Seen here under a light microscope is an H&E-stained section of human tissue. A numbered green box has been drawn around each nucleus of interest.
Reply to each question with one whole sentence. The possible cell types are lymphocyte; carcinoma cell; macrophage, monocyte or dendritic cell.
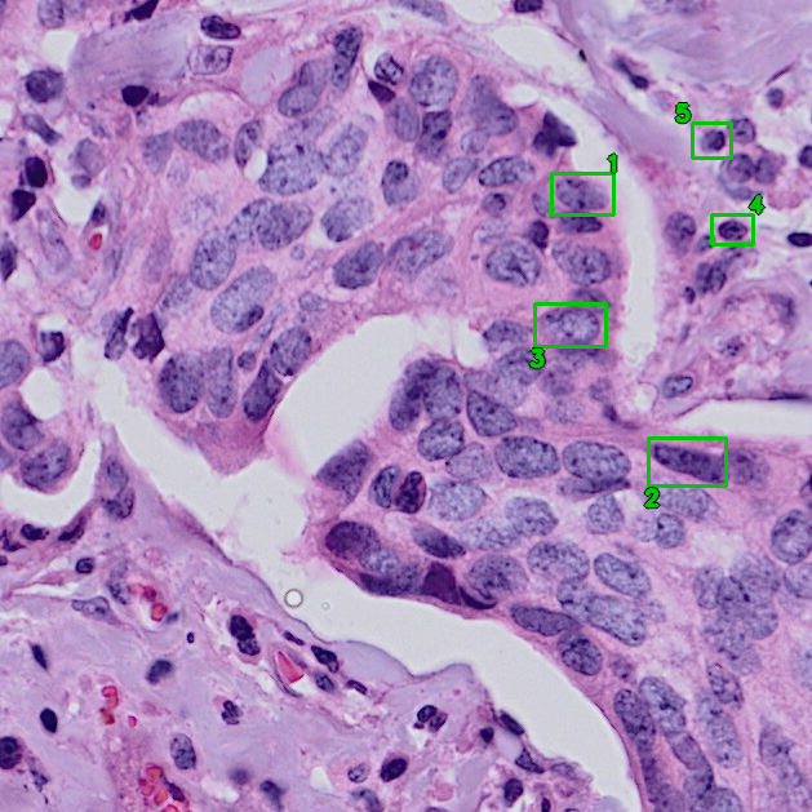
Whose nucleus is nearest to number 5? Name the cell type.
The nearest nucleus to number 5 belongs to a macrophage, monocyte or dendritic cell.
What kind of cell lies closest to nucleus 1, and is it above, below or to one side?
The nearest one is a carcinoma cell, found below nucleus 1.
